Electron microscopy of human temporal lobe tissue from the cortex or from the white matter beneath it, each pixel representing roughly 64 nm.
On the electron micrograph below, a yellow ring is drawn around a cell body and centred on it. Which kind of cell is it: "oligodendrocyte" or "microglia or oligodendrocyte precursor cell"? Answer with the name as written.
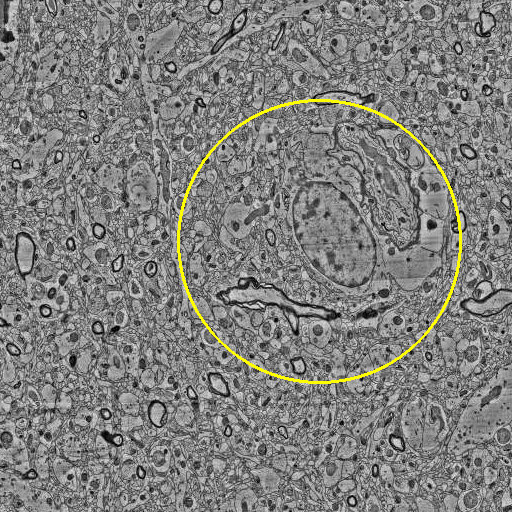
microglia or oligodendrocyte precursor cell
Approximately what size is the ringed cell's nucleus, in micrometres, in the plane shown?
About 7 by 4 micrometers; the nucleus is clearly longer than it is wide in this plane.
